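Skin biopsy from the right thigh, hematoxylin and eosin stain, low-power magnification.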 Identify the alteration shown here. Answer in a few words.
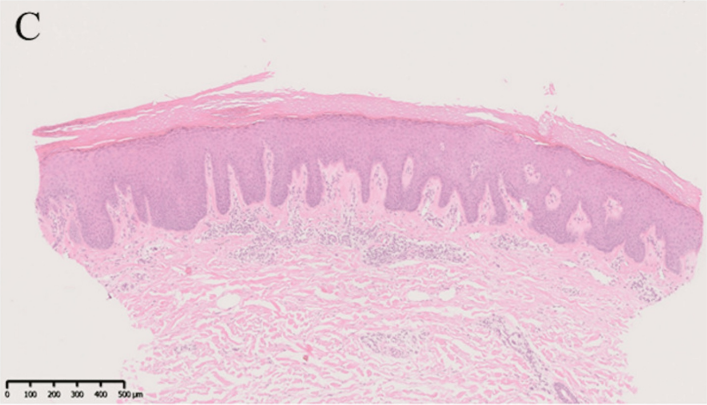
Psoriasiform regular acanthosis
